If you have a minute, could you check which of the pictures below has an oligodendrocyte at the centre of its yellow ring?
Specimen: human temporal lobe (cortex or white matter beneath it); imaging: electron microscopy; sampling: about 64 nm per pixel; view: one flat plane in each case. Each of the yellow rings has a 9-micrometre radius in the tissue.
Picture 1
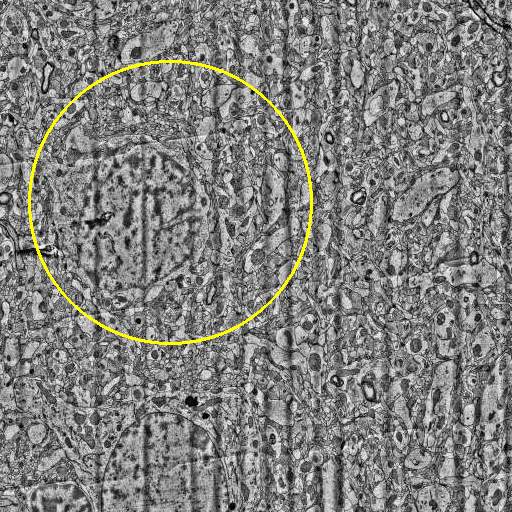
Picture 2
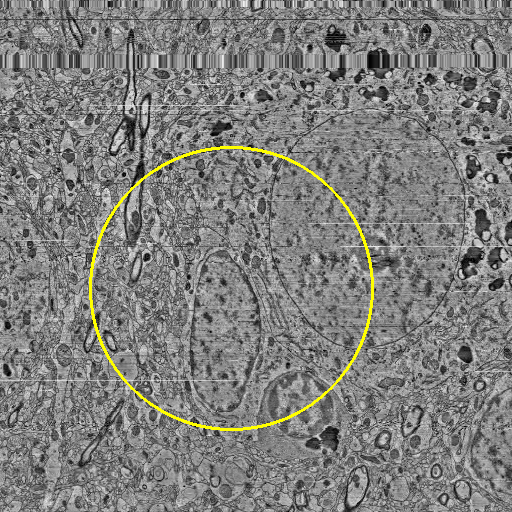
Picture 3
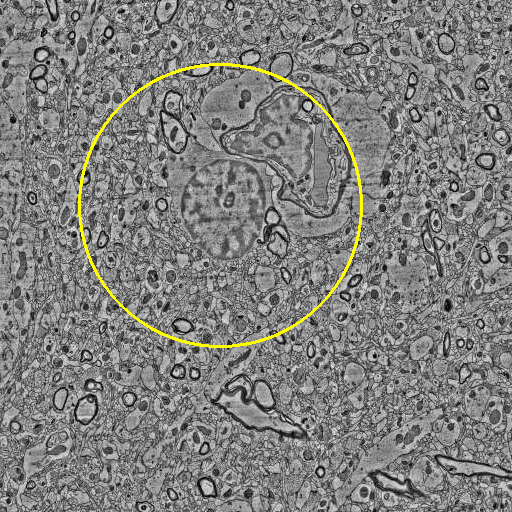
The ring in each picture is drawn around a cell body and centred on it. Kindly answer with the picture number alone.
3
